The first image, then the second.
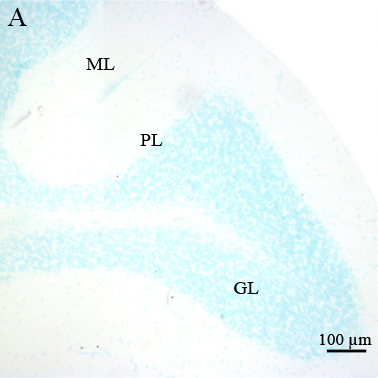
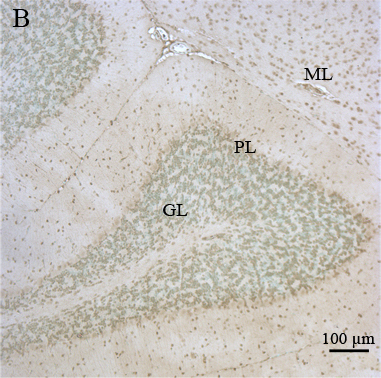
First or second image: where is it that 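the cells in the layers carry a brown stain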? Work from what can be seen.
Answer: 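Second image: the densely packed cells of the inner layer and scattered cells of the outer layer are brownish.
The second image.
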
